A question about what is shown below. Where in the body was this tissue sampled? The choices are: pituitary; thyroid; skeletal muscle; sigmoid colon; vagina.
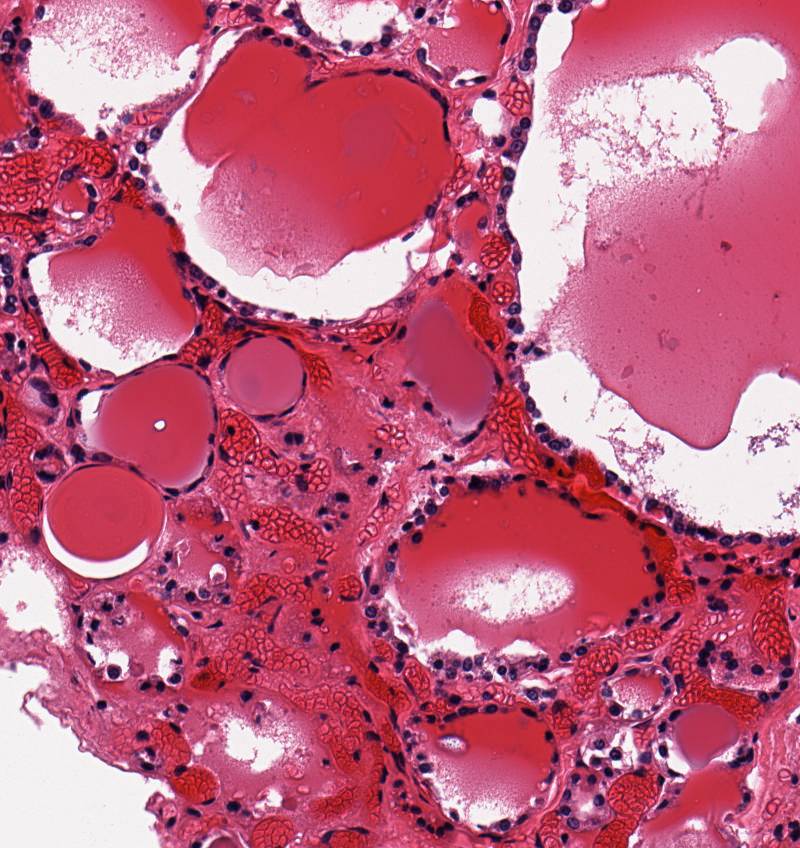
thyroid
